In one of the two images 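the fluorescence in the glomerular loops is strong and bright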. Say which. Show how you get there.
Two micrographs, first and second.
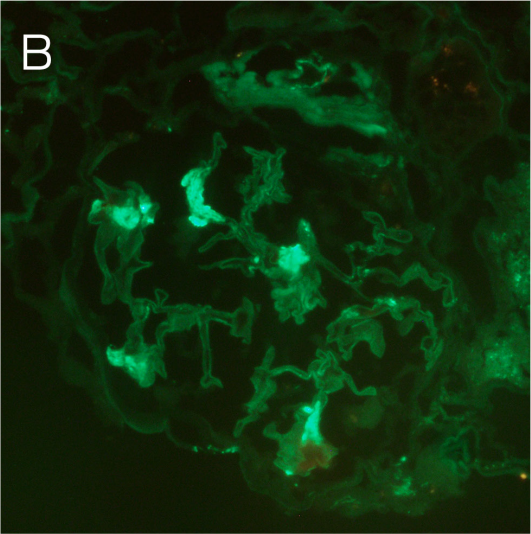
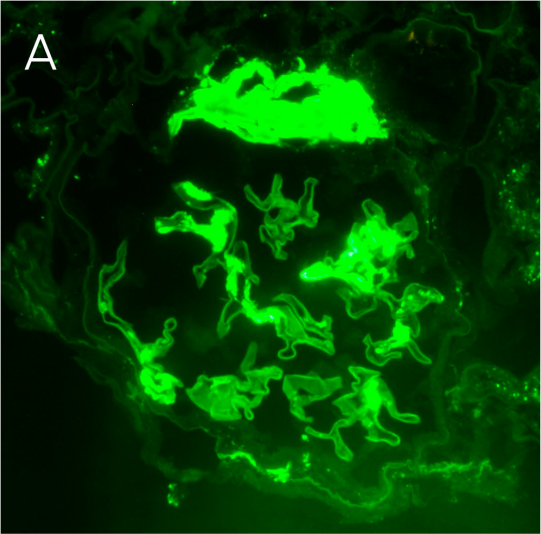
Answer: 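First image: the loops show only faint green outlines with a few brighter spots. Second image: the loops and a large mass at the top glow intensely green. The answer: the second image.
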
